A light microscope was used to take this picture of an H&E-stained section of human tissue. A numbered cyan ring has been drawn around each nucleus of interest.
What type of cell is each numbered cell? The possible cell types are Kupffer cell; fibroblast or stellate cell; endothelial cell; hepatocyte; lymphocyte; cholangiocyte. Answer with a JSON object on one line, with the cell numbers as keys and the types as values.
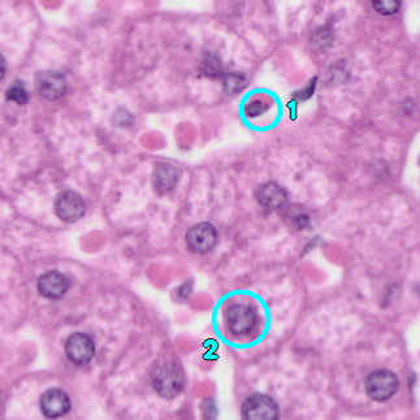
{"1": "lymphocyte", "2": "hepatocyte"}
